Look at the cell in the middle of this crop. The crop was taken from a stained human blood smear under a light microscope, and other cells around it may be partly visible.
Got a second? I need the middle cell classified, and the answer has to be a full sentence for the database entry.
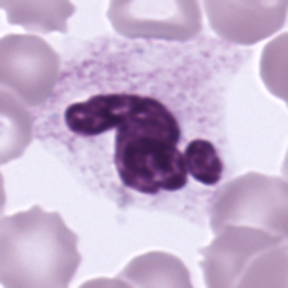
The cell featured at the centre of this crop is a segmented neutrophil.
